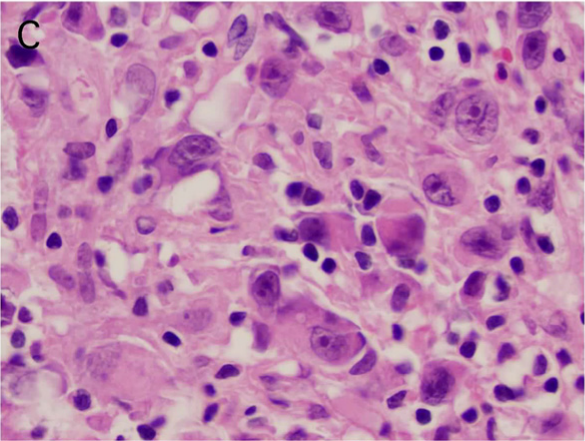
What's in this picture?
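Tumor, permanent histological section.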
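At higher magnification, large neoplastic cells lie among small lymphocytes in a pink fibrous background. The large cells have ample pink cytoplasm and large oval to lobed nuclei with open chromatin and conspicuous nucleoli. The small lymphocytes have round, dark, compact nuclei with little cytoplasm. Pink fibrillary stroma lies between the cells.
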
